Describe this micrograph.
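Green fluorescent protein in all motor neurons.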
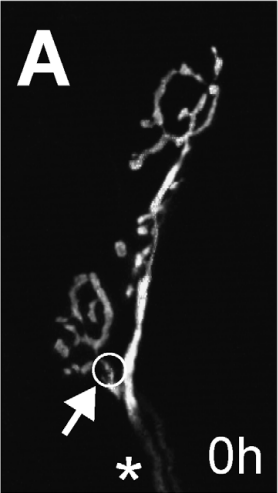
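A thick bright axon runs up from the bottom and gives off fine branches that end in curled, beaded arbors, forming a loop-like pretzel pattern at the top and a separate cluster of rounded loops and small blobs at the lower left. The terminal branches are bumpy, with bright swellings along them where the nerve contacts the muscle fibre. A small circle with an arrow marks a thin branch linking the lower left cluster to the main axon.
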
